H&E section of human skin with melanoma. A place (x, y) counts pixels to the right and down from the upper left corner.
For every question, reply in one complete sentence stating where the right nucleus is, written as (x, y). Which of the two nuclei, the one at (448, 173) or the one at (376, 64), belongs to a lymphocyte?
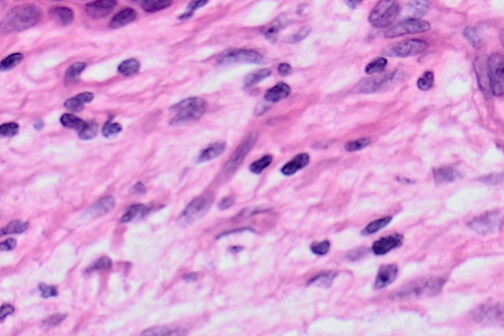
The nucleus at (376, 64) is part of a lymphocyte, while the other is not.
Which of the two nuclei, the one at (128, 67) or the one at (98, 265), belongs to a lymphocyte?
Rather than the other nucleus, the one at (128, 67) belongs to a lymphocyte.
